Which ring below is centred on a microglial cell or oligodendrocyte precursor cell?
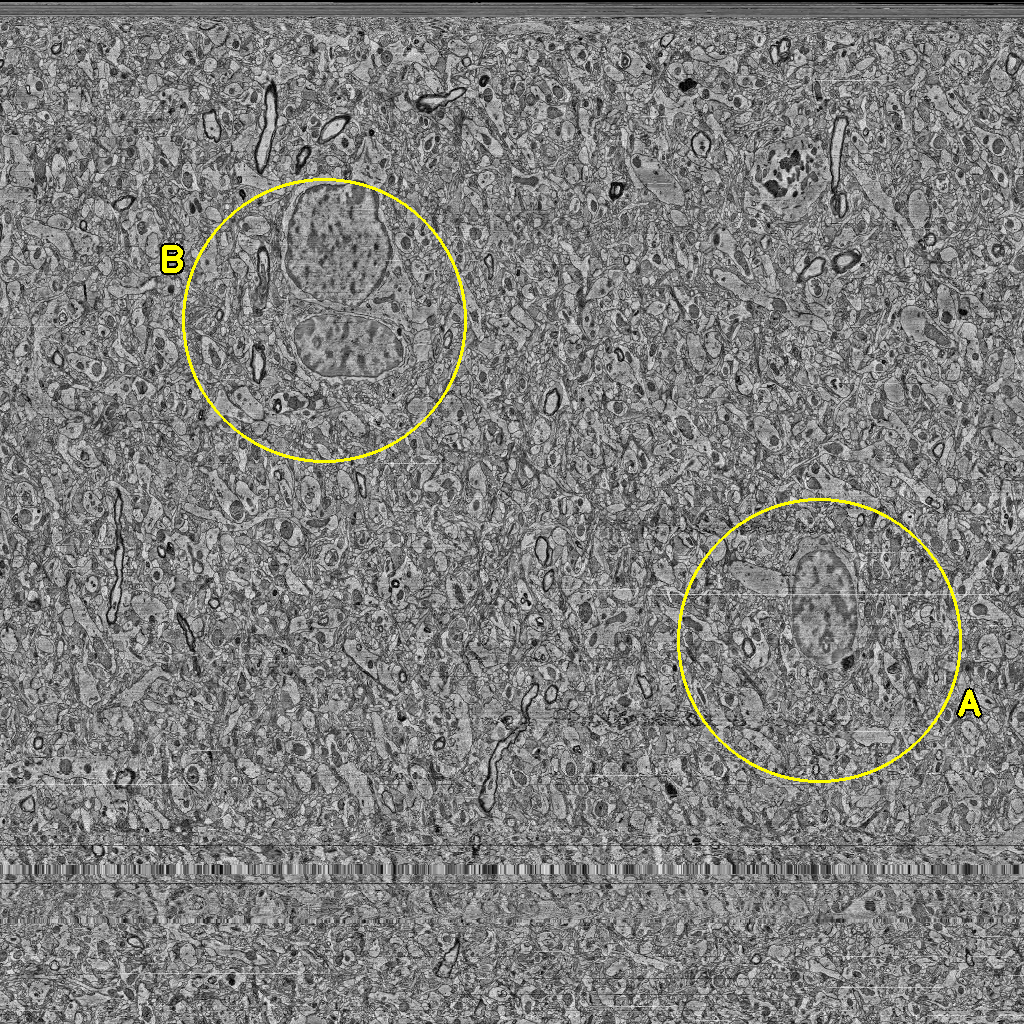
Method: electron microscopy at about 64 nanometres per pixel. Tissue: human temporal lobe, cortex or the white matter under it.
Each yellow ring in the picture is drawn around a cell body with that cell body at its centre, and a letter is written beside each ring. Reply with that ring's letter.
B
